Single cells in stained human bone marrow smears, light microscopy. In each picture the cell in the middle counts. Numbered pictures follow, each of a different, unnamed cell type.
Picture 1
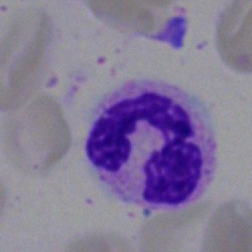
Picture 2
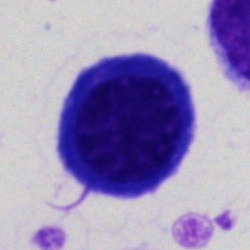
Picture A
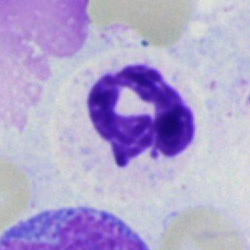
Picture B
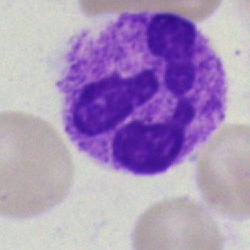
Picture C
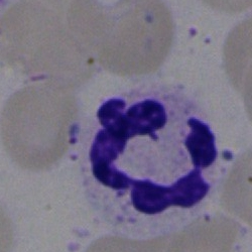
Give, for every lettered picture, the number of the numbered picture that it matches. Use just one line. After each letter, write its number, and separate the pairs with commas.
A 1, B 1, C 1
